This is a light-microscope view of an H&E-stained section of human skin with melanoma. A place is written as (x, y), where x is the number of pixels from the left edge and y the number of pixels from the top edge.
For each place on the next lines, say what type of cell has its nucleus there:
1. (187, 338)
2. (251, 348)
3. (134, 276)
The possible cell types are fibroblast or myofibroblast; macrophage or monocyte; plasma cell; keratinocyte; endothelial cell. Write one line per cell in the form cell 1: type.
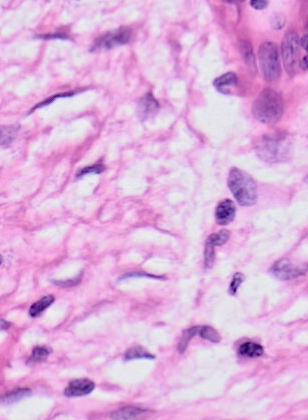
cell 1: macrophage or monocyte
cell 2: plasma cell
cell 3: fibroblast or myofibroblast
